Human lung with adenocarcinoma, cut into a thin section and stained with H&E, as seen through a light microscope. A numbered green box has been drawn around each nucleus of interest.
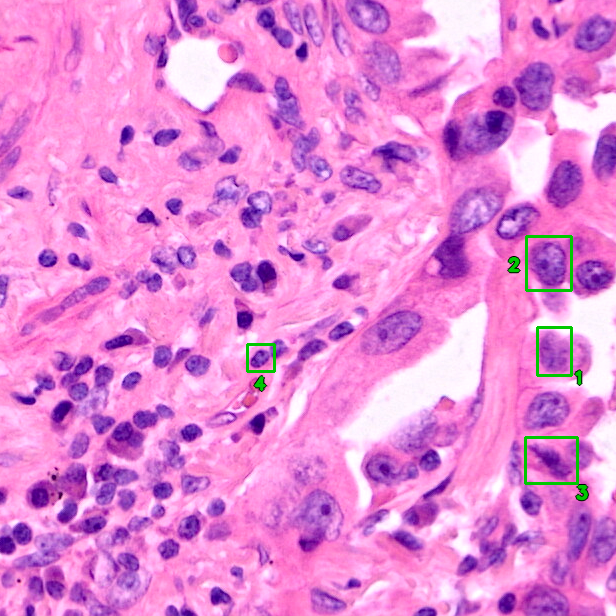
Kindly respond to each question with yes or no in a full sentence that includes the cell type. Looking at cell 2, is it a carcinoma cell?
Yes, the numbered cell 2 is identified as a carcinoma cell.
